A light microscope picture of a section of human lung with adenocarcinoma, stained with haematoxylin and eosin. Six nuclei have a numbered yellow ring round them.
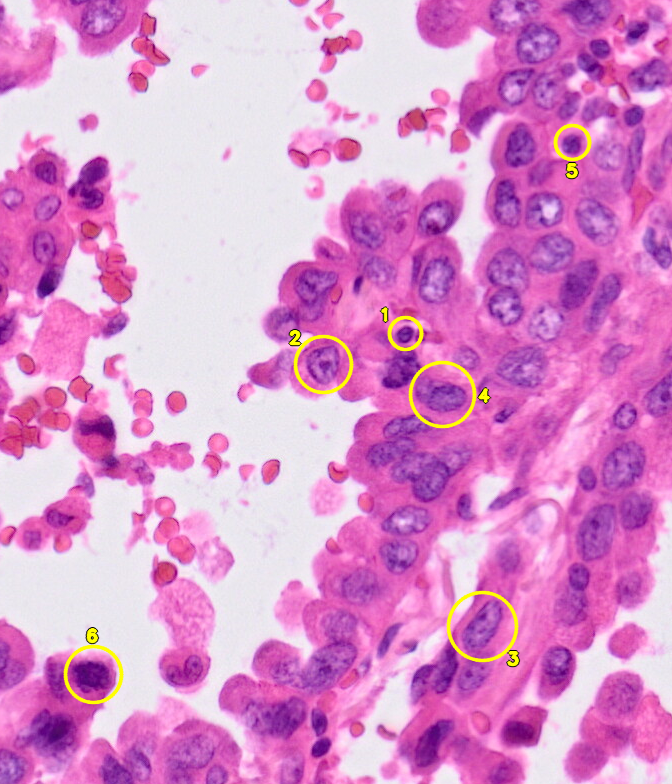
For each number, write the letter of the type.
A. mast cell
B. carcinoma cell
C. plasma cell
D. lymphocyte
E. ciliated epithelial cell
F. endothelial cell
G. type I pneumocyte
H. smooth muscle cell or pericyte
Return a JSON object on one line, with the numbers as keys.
{"1": "D", "2": "B", "3": "B", "4": "B", "5": "D", "6": "B"}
